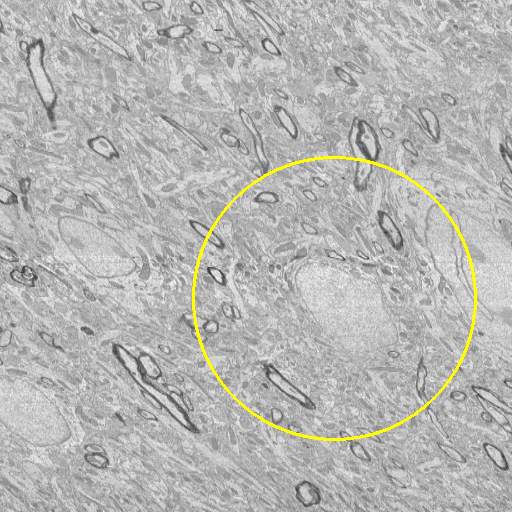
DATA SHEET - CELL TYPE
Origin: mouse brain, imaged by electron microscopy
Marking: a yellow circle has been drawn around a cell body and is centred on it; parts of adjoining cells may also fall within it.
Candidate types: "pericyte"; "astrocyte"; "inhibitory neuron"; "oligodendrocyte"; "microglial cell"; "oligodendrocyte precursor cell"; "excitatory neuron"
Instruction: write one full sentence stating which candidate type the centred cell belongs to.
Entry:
The cell body at the centre of the yellow ring in this micrograph belongs to an astrocyte.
